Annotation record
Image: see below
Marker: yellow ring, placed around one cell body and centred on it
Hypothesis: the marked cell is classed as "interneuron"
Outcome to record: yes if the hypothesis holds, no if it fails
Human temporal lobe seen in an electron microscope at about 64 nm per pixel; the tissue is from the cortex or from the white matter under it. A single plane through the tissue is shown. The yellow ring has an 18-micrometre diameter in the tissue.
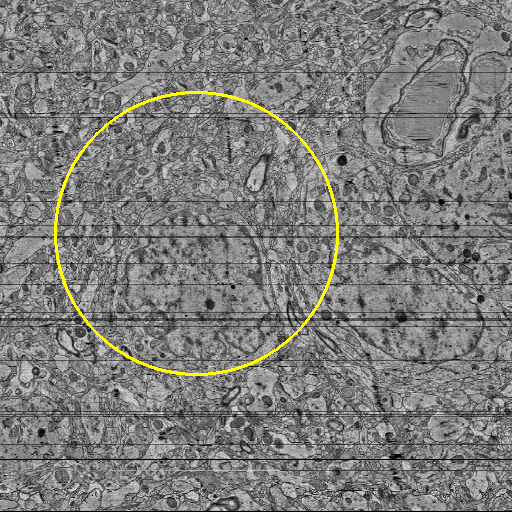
yes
